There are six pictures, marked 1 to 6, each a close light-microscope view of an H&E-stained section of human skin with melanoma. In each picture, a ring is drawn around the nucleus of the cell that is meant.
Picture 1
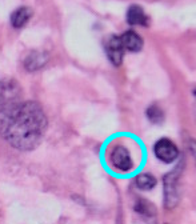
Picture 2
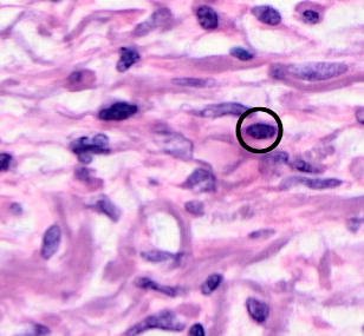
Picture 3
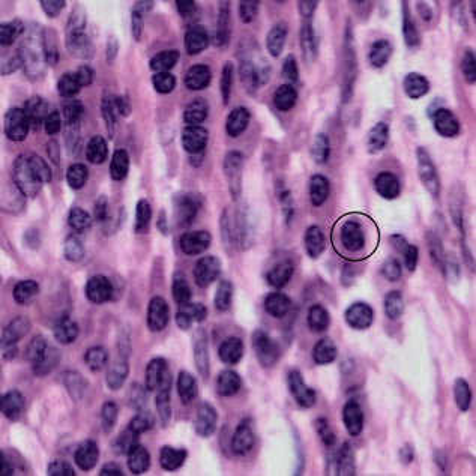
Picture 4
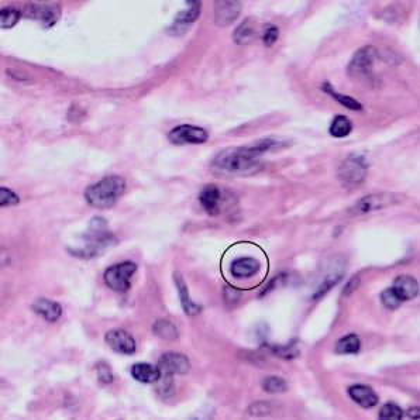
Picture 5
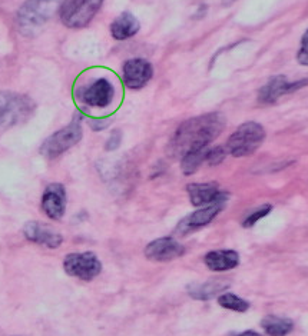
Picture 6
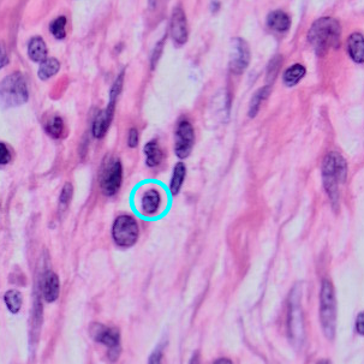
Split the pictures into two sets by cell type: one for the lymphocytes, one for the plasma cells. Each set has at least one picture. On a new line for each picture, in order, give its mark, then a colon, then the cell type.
1: lymphocyte
2: plasma cell
3: plasma cell
4: lymphocyte
5: lymphocyte
6: plasma cell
